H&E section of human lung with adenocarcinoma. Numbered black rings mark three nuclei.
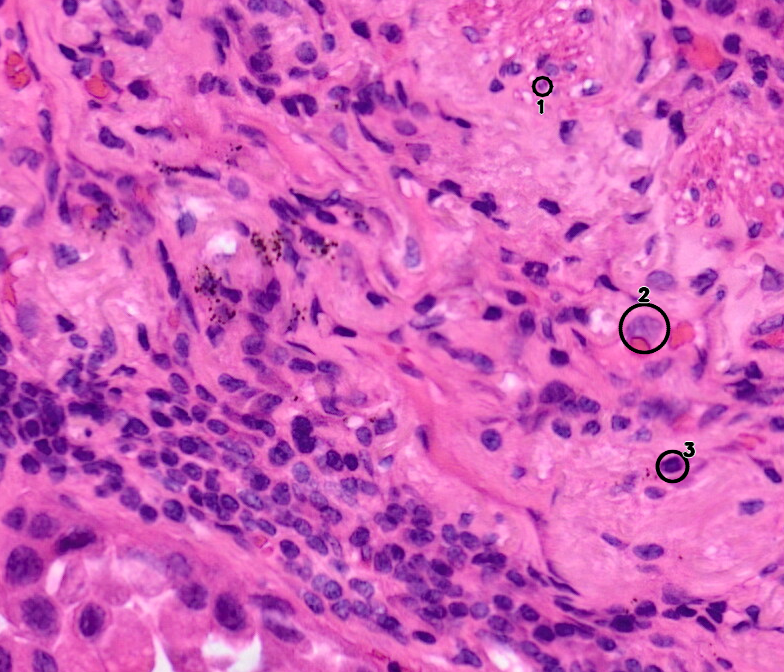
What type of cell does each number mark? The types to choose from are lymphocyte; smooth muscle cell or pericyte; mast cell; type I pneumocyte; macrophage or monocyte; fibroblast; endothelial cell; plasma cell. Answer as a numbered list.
1. smooth muscle cell or pericyte
2. endothelial cell
3. plasma cell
